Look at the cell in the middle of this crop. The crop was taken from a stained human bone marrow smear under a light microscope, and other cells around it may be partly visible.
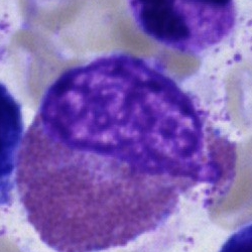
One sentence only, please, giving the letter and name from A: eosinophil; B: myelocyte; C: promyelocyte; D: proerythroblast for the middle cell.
The centrally positioned cell is an eosinophil, consistent with option A, which is correct.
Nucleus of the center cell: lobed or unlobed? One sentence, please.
The nuclear material is gathered into one compact round, oval or kidney-shaped mass.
